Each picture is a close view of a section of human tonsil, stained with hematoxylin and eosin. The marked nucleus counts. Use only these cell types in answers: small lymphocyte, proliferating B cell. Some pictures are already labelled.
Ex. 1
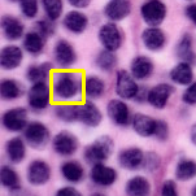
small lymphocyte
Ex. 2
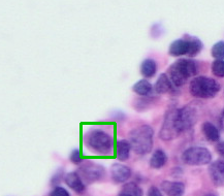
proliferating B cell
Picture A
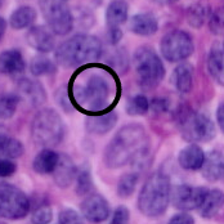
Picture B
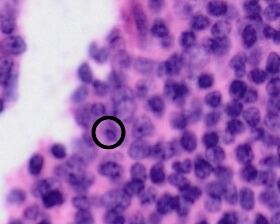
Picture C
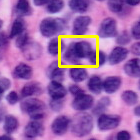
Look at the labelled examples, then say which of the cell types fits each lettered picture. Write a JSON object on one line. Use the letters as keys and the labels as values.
{"A": "proliferating B cell", "B": "proliferating B cell", "C": "small lymphocyte"}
